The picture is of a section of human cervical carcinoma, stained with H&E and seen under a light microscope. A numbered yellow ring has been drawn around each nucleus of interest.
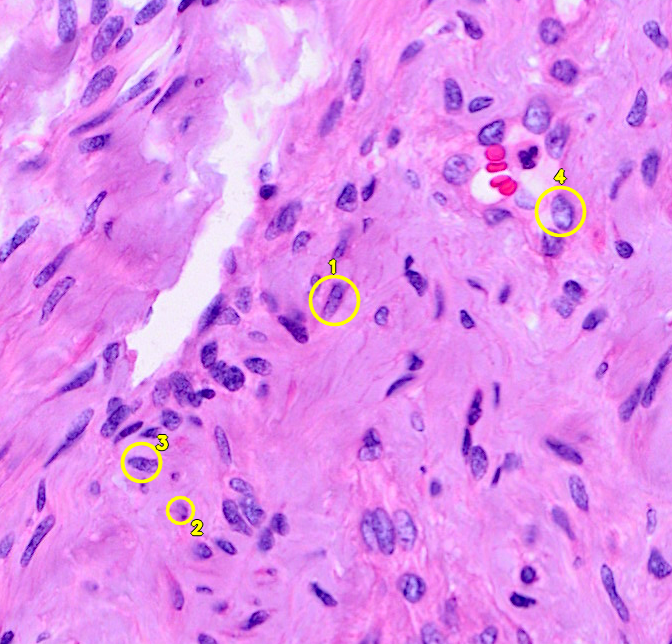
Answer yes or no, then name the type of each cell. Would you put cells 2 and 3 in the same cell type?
No, cell 2 is a smooth muscle cell and cell 3 is a fibroblast.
